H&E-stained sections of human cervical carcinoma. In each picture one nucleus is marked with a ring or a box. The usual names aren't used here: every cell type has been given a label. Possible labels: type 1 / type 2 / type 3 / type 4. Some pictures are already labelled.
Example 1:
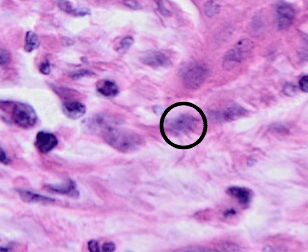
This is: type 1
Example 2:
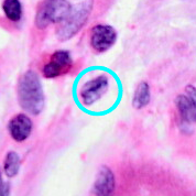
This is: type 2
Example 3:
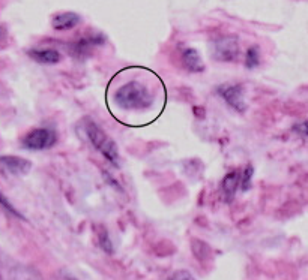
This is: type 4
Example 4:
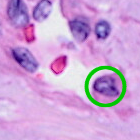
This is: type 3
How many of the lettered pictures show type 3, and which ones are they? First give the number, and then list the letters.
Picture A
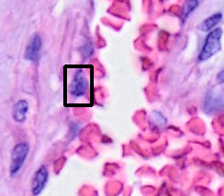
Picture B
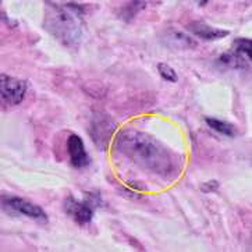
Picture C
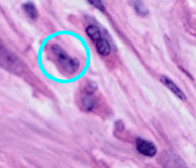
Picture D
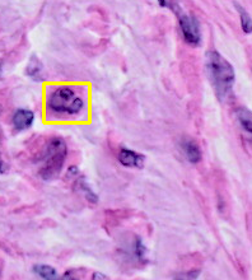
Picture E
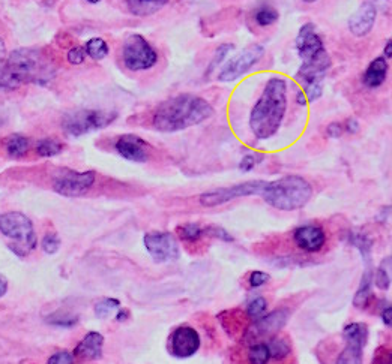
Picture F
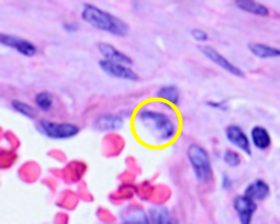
3: A, B, F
